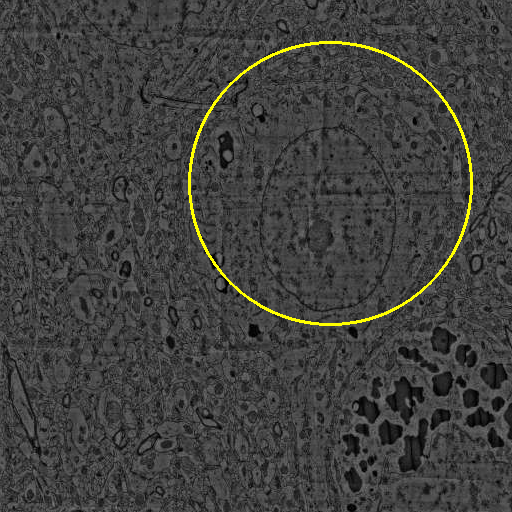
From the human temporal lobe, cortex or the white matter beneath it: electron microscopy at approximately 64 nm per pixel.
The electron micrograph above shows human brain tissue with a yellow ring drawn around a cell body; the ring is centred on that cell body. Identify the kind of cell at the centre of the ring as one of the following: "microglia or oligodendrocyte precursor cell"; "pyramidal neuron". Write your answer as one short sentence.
The cell at the centre of the ring is a pyramidal neuron.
